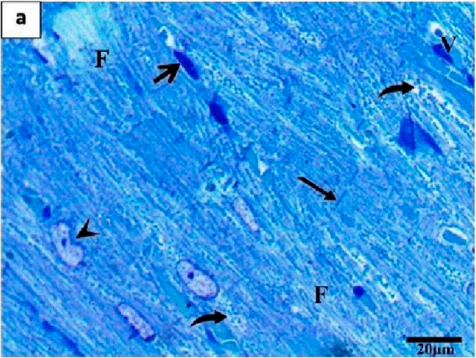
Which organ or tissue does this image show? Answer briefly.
cardiac muscle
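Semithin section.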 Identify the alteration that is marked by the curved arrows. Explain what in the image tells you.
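The curved arrows point at clear, unstained spaces within the fibres. The clear spaces lie close to nuclei. On this evidence: perinuclear vacuolation.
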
